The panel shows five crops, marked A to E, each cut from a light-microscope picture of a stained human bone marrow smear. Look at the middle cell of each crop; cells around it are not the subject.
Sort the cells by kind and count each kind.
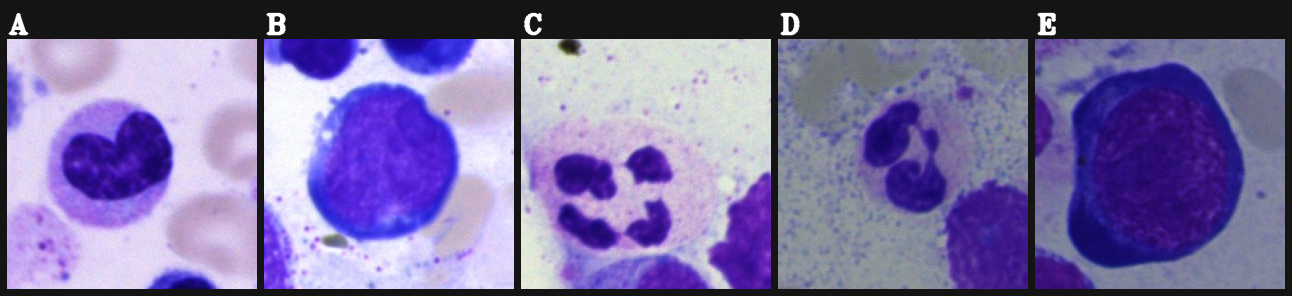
proerythroblast: 2
segmented neutrophil: 2
metamyelocyte: 1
